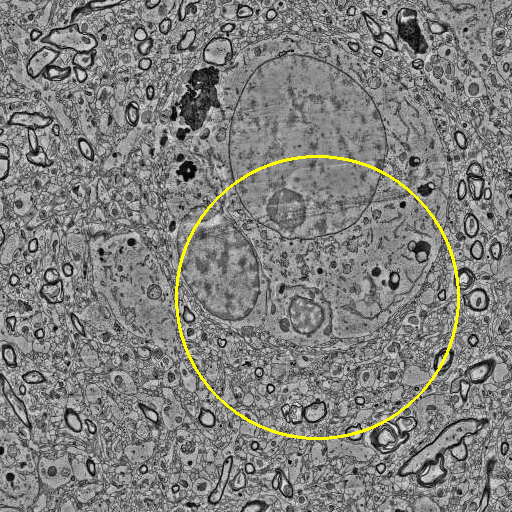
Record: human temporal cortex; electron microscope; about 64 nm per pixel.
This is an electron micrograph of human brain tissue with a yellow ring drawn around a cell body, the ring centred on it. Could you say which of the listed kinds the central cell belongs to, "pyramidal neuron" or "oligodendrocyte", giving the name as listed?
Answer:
oligodendrocyte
